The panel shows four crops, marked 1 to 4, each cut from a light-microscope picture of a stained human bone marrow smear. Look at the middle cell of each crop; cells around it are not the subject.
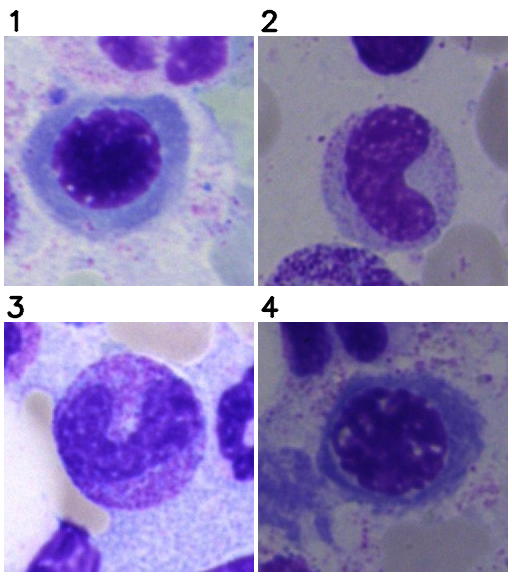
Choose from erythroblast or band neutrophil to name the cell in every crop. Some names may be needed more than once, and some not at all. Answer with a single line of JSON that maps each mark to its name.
{"1": "erythroblast", "2": "band neutrophil", "3": "band neutrophil", "4": "erythroblast"}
